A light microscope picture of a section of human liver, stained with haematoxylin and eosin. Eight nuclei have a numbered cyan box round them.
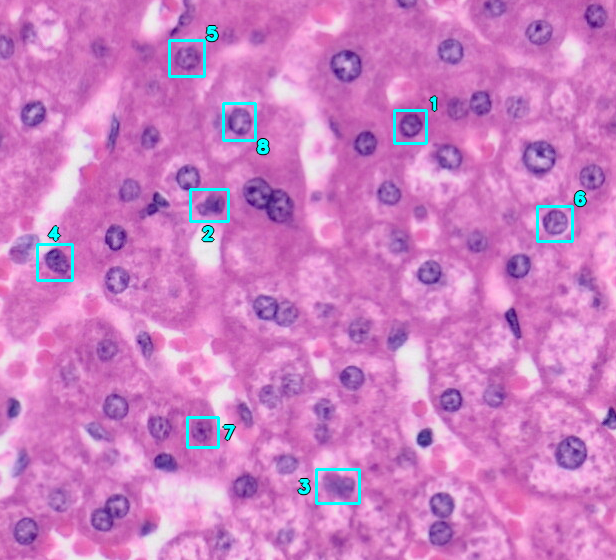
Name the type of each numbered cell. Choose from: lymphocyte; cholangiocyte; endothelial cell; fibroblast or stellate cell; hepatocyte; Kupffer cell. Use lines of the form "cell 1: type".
cell 1: hepatocyte
cell 2: fibroblast or stellate cell
cell 3: endothelial cell
cell 4: fibroblast or stellate cell
cell 5: hepatocyte
cell 6: hepatocyte
cell 7: hepatocyte
cell 8: hepatocyte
